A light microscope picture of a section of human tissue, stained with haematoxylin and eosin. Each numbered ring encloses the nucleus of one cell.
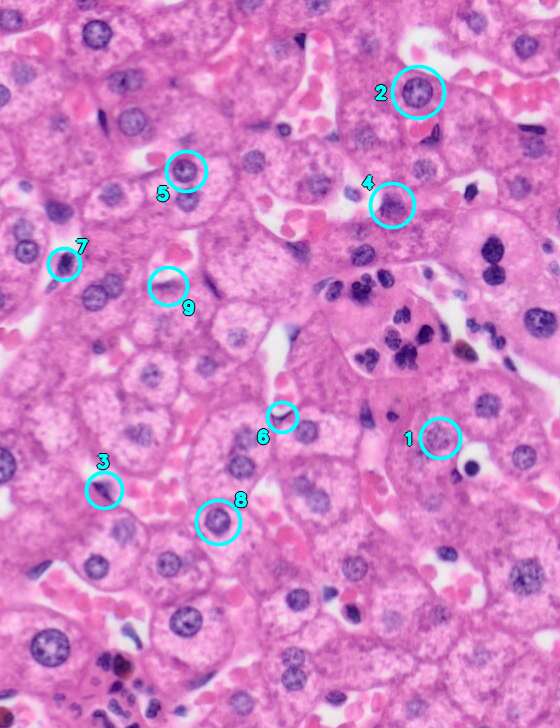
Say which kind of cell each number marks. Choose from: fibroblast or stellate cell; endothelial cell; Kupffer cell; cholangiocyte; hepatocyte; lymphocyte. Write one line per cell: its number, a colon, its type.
1: hepatocyte
2: hepatocyte
3: endothelial cell
4: endothelial cell
5: hepatocyte
6: endothelial cell
7: lymphocyte
8: hepatocyte
9: endothelial cell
